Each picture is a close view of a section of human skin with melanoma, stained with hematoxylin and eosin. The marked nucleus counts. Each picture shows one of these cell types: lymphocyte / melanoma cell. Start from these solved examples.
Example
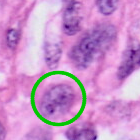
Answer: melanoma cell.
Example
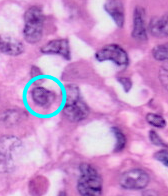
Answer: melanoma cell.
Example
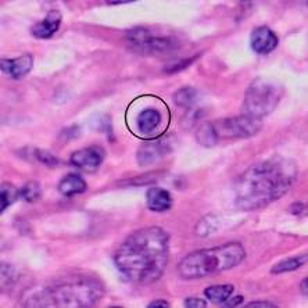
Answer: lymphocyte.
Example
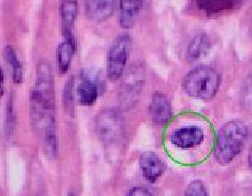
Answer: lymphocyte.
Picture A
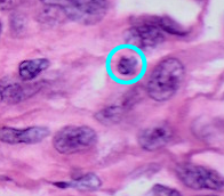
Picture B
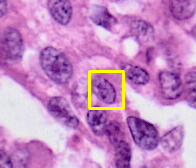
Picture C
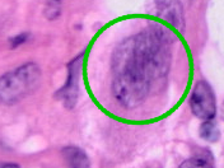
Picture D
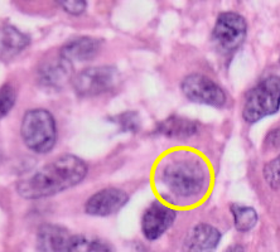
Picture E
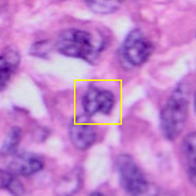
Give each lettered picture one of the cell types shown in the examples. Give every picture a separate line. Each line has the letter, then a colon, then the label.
A: lymphocyte.
B: melanoma cell.
C: melanoma cell.
D: melanoma cell.
E: melanoma cell.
